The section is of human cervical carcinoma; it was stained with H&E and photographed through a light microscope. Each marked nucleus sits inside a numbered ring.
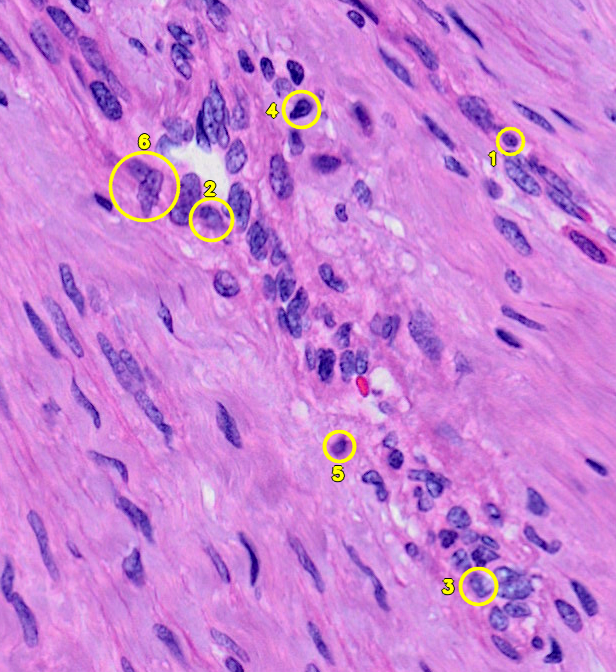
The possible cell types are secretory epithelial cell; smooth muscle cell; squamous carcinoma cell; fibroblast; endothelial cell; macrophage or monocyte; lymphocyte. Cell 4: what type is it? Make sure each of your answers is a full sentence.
The cell pointed out as number 4 is a lymphocyte.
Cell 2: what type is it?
The cell identified by the number 2 is an endothelial cell.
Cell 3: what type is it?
The cell identified by the number 3 is an endothelial cell.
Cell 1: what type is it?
The one labeled 1 is an endothelial cell, to put it simply.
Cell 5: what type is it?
Numbered cell 5 is a smooth muscle cell in this tissue section.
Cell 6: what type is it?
Here, the cell given the number 6 is an endothelial cell.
